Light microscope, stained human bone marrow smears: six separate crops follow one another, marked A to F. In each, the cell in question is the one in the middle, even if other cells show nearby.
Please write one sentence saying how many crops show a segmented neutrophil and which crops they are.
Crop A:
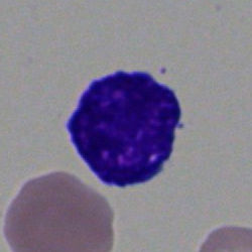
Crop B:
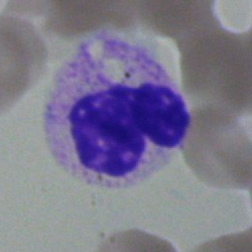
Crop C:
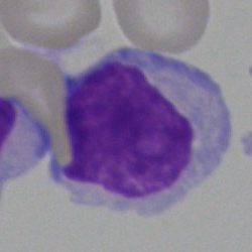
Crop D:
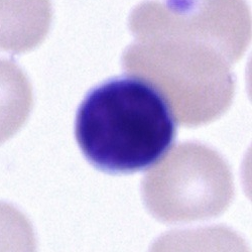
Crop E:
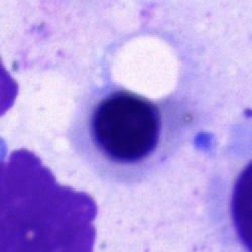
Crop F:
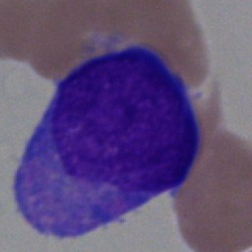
In the set of crops, segmented neutrophils are not present, and the count is zero.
